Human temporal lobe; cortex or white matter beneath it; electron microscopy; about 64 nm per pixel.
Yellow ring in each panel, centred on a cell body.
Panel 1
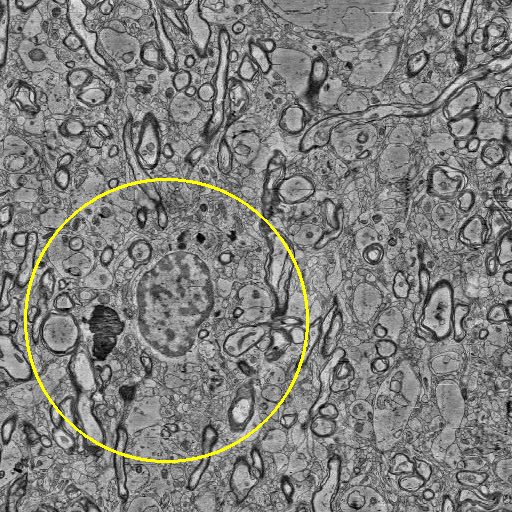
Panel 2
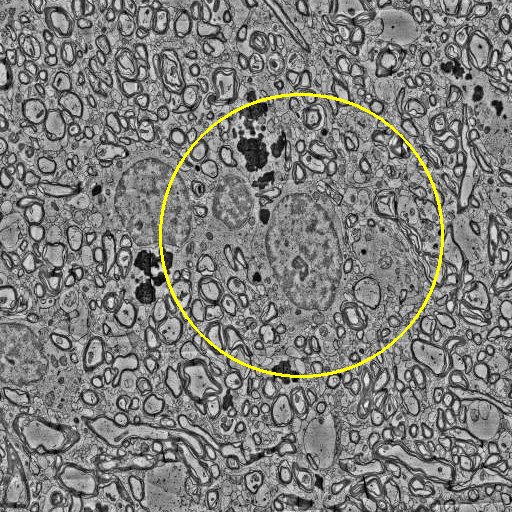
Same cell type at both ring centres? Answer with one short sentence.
No, the two cells are of two types.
